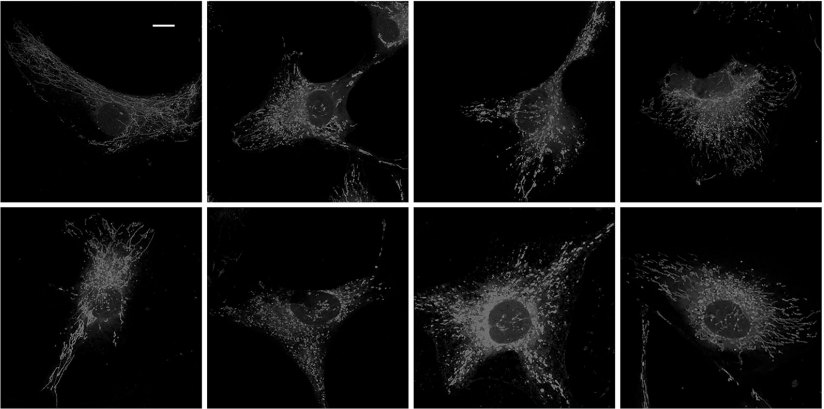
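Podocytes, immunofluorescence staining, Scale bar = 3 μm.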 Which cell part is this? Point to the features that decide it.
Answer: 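Each cell is filled with bright thread-like and dot-like organelles scattered through the cytoplasm. Some organelles form long branched filaments, others short rods and dots.
Conclusion: mitochondria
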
